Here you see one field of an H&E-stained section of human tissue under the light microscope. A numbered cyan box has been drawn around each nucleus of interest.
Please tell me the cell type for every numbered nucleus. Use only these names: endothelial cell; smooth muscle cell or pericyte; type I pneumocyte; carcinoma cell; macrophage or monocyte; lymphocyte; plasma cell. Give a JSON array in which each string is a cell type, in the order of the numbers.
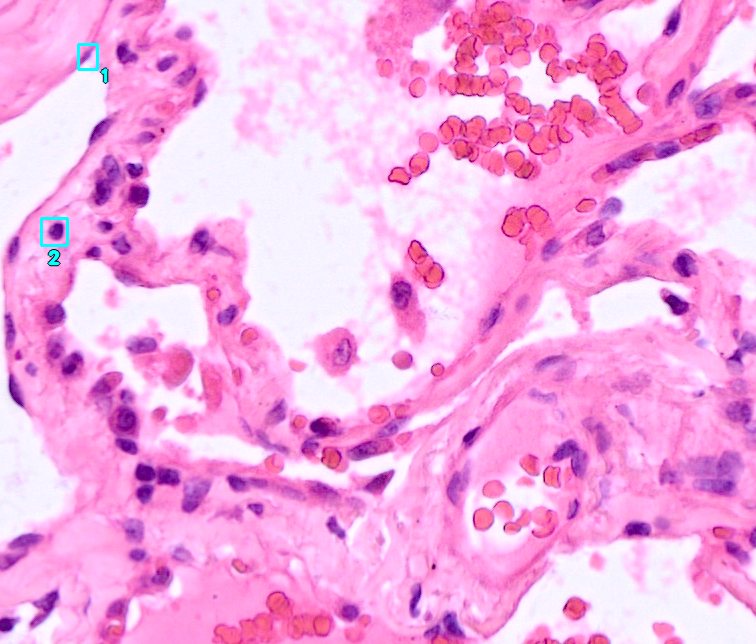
["endothelial cell", "lymphocyte"]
